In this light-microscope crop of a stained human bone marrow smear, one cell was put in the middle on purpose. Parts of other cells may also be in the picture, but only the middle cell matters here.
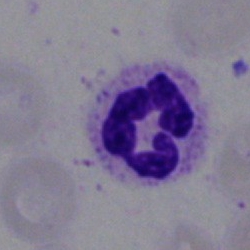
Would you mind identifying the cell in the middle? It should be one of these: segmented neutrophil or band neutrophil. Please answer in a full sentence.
The cell in the middle of this crop is a segmented neutrophil.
